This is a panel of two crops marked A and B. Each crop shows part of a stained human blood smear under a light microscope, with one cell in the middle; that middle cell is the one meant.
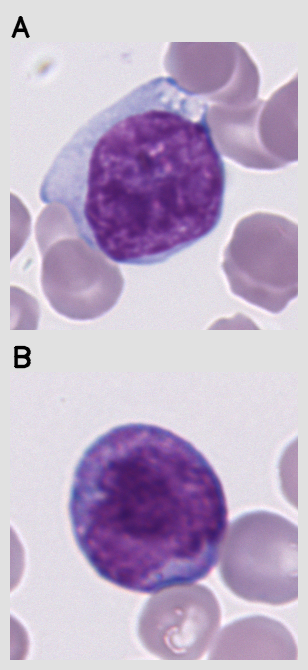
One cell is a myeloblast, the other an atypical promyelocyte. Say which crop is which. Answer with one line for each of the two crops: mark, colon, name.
A: myeloblast
B: atypical promyelocyte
